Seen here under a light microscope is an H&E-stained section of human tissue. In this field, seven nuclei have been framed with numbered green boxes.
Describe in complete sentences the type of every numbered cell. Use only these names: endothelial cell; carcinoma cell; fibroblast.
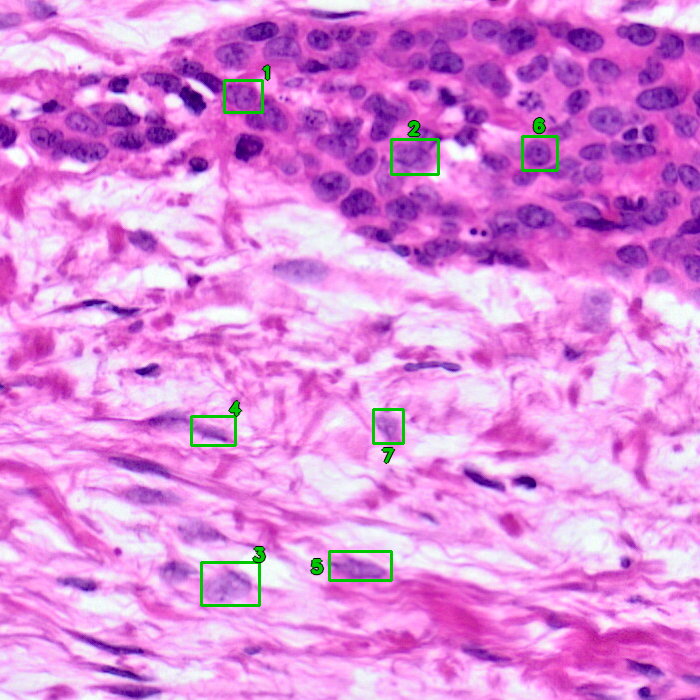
Cell 1 is a carcinoma cell, cell 2 is a carcinoma cell, cell 3 is a fibroblast, cell 4 is a fibroblast, cell 5 is a fibroblast, cell 6 is a carcinoma cell and cell 7 is a fibroblast.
